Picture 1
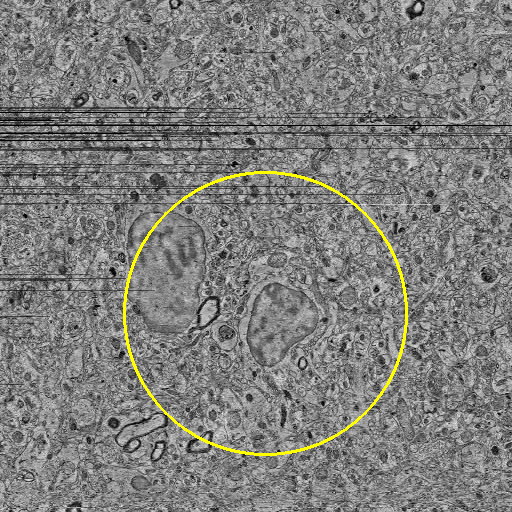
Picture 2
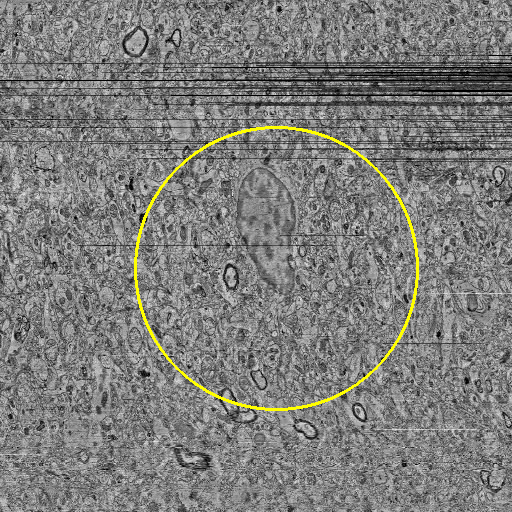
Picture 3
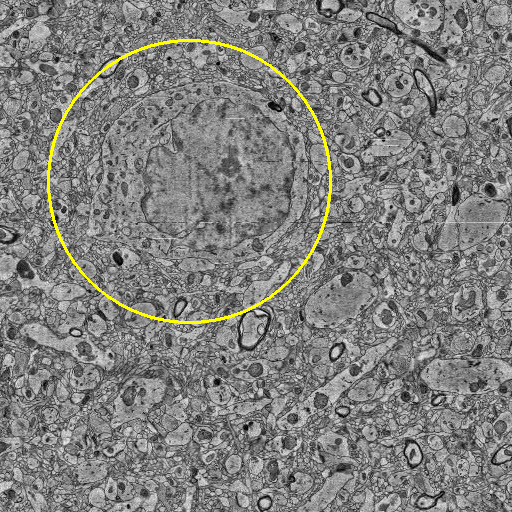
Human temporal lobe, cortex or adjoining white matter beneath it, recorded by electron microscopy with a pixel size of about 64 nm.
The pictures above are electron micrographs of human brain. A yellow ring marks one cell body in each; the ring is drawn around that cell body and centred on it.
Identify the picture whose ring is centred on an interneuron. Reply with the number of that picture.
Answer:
3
